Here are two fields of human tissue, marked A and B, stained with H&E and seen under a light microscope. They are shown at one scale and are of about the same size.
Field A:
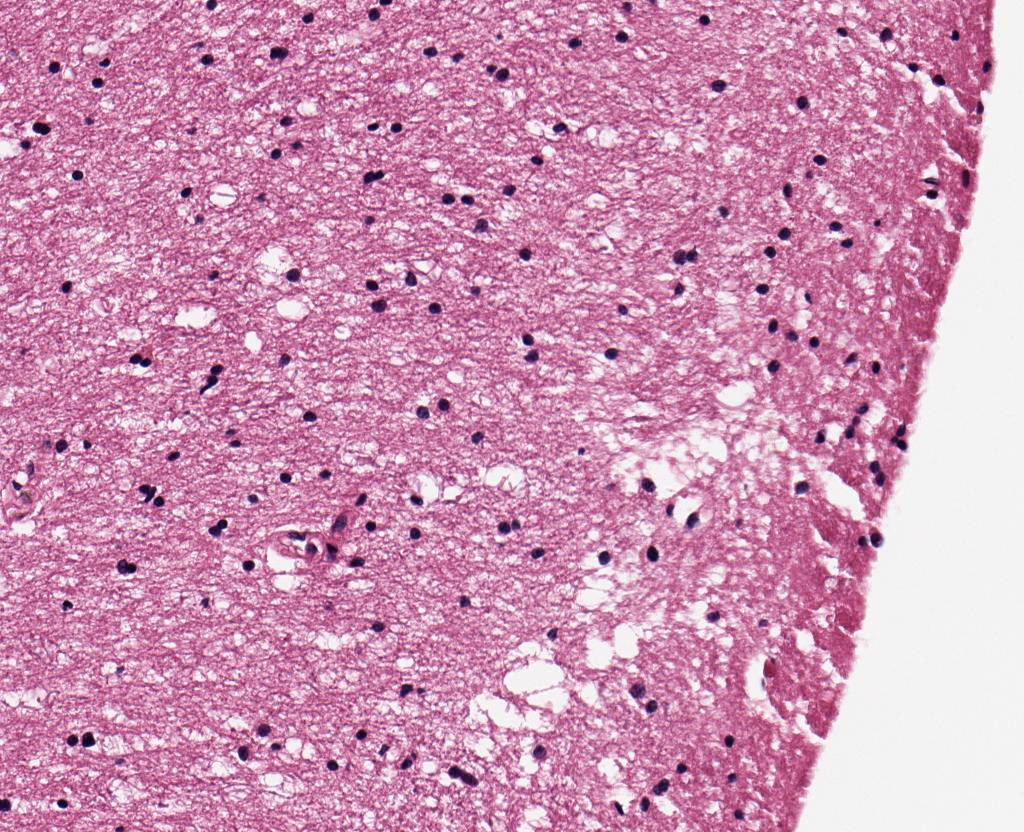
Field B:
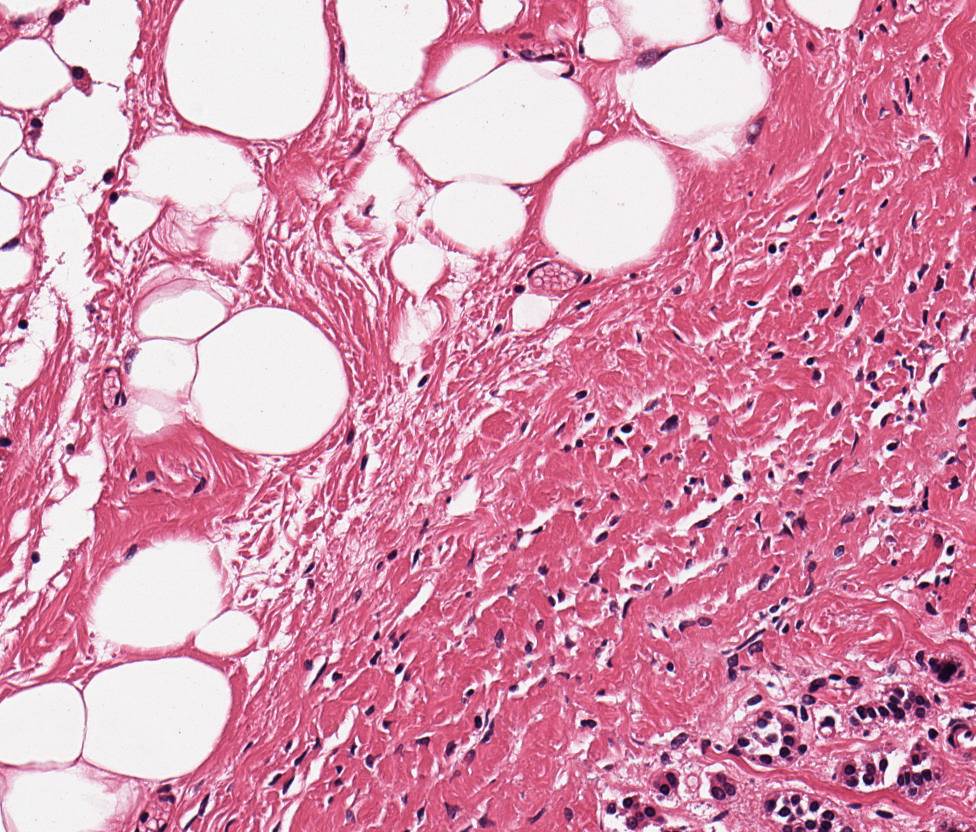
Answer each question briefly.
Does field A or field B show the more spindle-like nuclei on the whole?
B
